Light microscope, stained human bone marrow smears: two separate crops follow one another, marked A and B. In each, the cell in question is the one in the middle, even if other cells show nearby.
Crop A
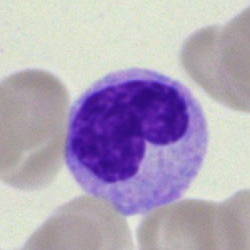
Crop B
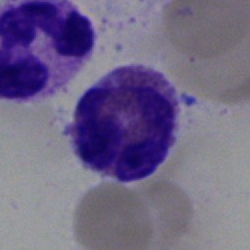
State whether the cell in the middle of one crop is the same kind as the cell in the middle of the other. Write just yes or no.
no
